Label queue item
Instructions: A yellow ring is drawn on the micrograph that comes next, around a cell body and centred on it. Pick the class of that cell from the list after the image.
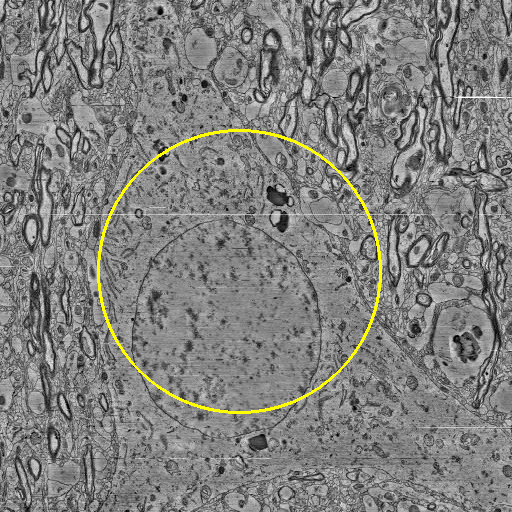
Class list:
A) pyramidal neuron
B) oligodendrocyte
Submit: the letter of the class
A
